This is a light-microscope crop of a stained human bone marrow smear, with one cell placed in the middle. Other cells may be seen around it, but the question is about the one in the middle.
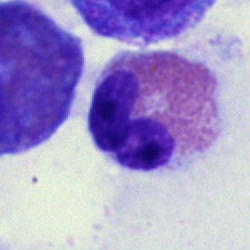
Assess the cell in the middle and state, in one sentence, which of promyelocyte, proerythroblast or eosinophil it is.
In the middle of this smear crop, the cell is an eosinophil.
